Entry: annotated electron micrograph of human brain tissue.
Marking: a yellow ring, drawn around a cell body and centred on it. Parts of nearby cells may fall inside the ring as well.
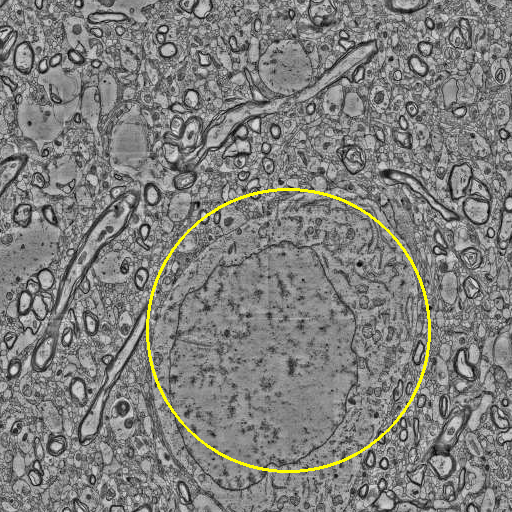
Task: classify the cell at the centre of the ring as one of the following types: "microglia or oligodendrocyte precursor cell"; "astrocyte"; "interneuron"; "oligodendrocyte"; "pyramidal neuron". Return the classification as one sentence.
The marked cell is classified as a pyramidal neuron.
